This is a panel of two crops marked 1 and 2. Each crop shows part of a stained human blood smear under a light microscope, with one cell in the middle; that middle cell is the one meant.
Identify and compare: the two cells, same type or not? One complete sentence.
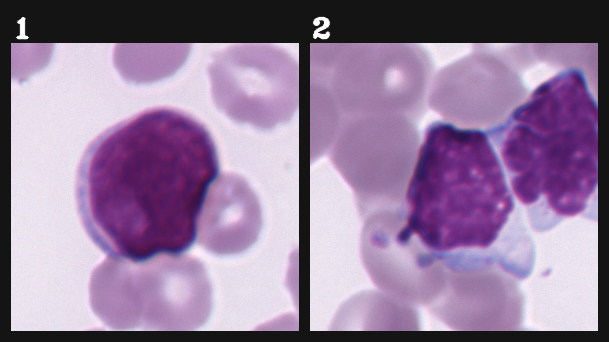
No, the cell in crop 1 is a myeloblast, and the cell in crop 2 is a large granular lymphocyte.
